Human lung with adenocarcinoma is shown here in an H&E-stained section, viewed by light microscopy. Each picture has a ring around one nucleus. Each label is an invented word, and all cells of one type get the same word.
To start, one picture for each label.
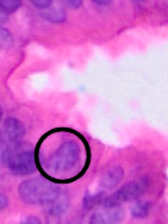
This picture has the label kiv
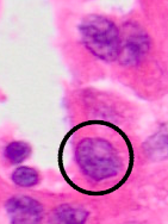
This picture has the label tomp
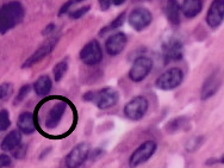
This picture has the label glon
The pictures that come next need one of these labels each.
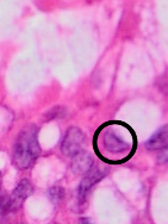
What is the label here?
kiv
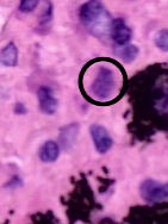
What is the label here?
glon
